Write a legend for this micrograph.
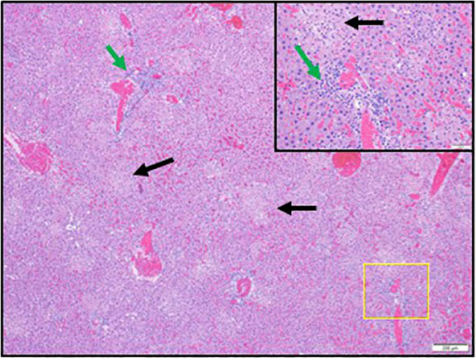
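This is liver, made of pink hepatocytes arranged in cords between vessels that are distended with red blood. In the inset, beside a vessel, a cluster of small round dark nuclei marks inflammatory cells gathered around the portal area. Hepatocytes nearby have round nuclei, and those at the left of the inset have pale, bubbly, vacuolated cytoplasm.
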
